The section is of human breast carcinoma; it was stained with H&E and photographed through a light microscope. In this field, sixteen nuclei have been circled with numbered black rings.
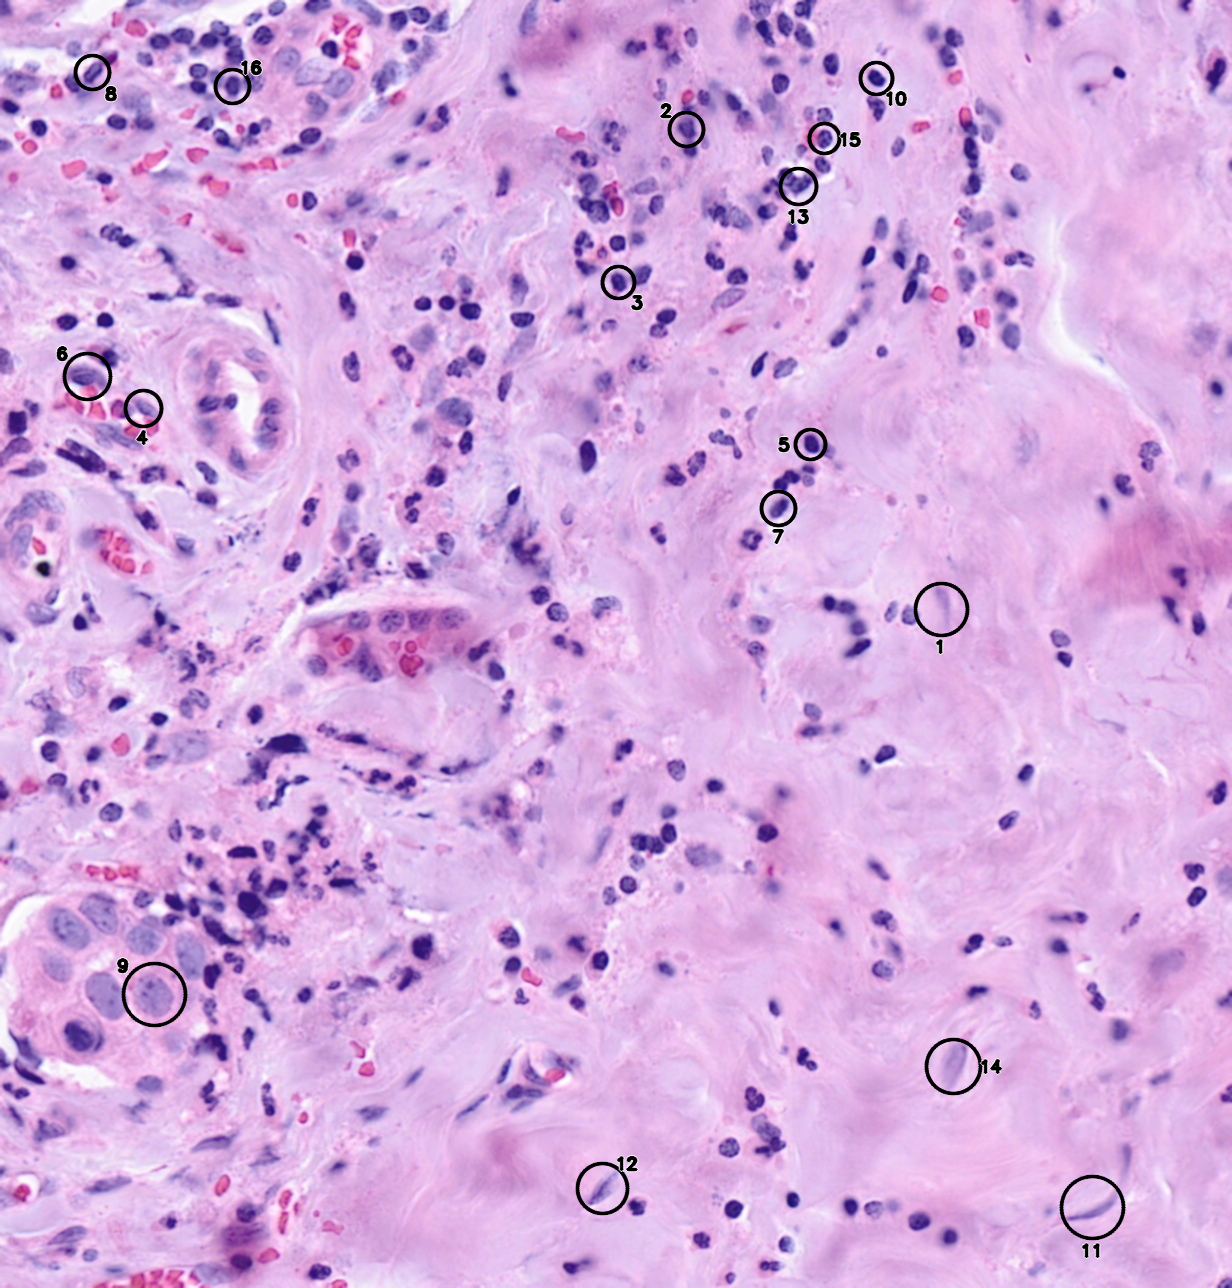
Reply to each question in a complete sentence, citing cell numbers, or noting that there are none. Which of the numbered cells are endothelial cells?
Each of the cells numbered 4 and 6 is among the endothelial cells.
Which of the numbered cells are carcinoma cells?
Among all the marked cells, a carcinoma cell is found only at number 9.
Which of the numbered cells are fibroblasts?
Cells numbered 1, 11, 12 and 14 belong to the group of fibroblasts.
